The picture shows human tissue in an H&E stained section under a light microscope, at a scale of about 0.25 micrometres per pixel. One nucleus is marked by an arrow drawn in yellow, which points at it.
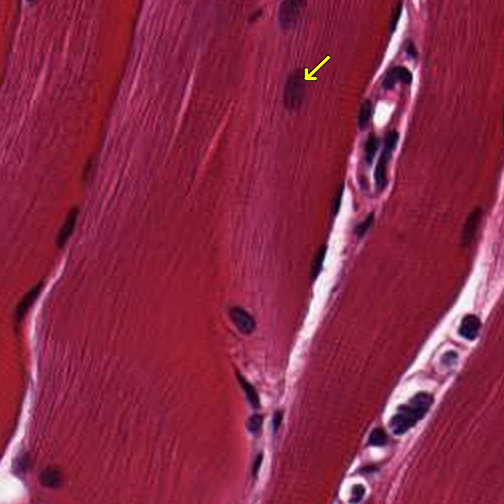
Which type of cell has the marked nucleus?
skeletal muscle fibre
